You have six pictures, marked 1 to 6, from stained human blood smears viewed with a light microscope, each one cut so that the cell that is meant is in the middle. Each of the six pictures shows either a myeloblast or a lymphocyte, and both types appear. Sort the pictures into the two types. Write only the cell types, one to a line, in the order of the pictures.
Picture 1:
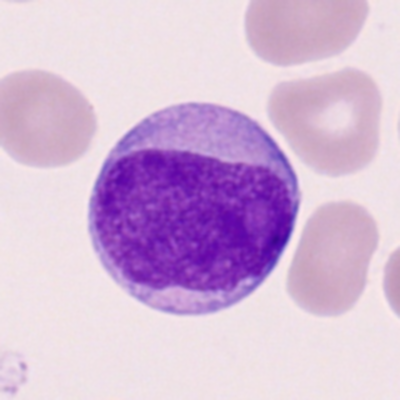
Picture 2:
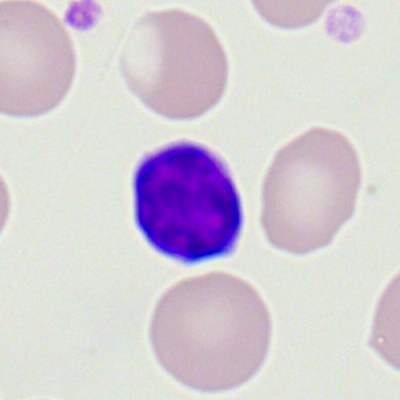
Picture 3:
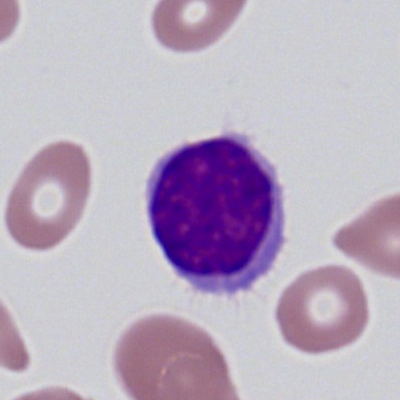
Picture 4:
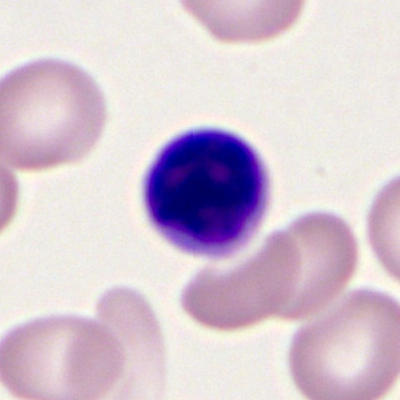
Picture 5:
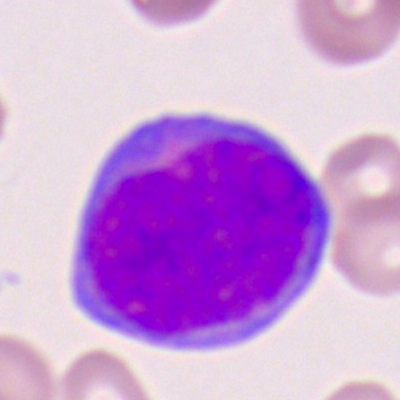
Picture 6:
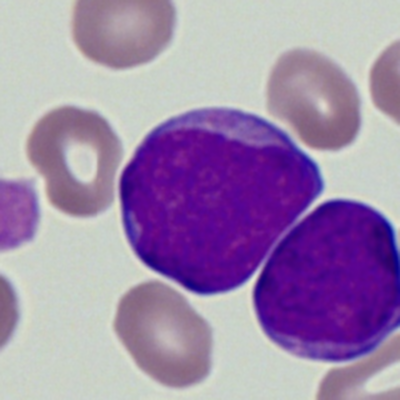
myeloblast
lymphocyte
lymphocyte
lymphocyte
myeloblast
myeloblast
